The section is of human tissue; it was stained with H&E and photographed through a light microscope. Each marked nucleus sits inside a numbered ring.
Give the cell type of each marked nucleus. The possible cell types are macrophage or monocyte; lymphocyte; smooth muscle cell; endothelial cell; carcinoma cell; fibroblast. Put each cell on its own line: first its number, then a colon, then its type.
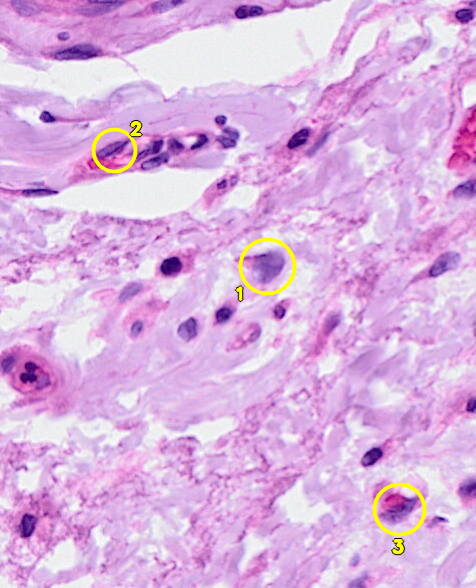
1: fibroblast
2: endothelial cell
3: endothelial cell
